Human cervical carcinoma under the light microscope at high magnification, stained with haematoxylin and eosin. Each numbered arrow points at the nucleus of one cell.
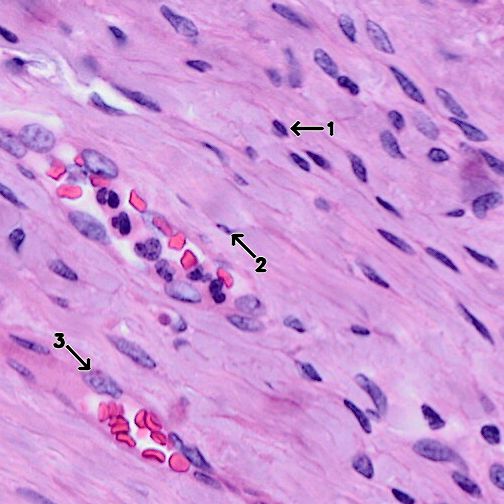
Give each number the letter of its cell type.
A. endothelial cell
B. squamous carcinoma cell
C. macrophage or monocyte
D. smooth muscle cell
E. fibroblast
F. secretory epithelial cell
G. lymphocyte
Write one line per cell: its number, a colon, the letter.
1: E
2: E
3: A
